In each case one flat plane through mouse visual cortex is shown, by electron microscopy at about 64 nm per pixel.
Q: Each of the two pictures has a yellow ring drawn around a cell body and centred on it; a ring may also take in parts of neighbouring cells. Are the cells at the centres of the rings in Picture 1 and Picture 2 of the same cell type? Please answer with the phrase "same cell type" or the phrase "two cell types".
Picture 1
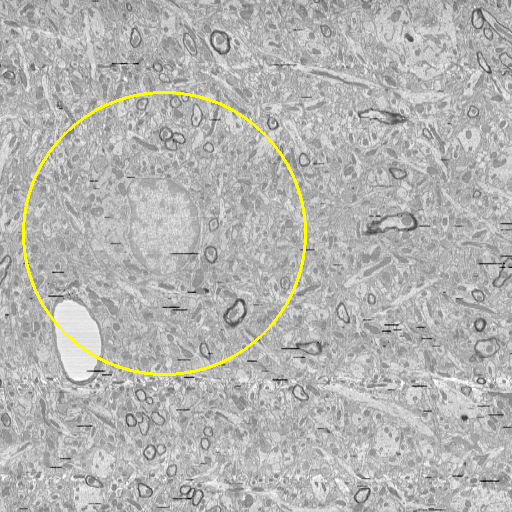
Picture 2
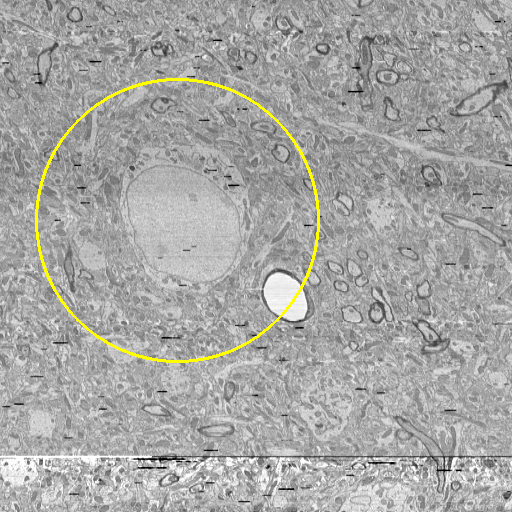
two cell types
